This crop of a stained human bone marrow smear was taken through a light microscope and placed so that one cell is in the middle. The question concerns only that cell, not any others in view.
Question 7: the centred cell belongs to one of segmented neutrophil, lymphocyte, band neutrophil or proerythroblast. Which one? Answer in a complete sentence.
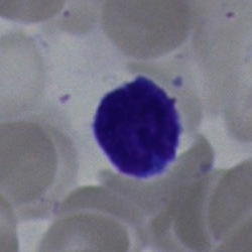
At the crop's centre, the cell is a lymphocyte.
